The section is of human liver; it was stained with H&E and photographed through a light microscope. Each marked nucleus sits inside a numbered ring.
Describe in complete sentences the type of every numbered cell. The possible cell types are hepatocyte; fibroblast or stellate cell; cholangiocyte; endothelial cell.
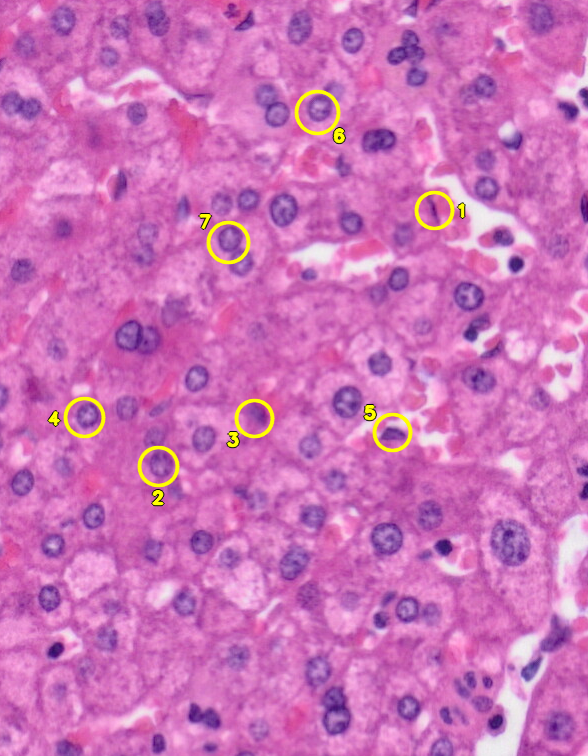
Cell 1 is an endothelial cell, cell 2 is a hepatocyte, cell 3 is an endothelial cell, cell 4 is a hepatocyte, cell 5 is an endothelial cell, cell 6 is a hepatocyte and cell 7 is a hepatocyte.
